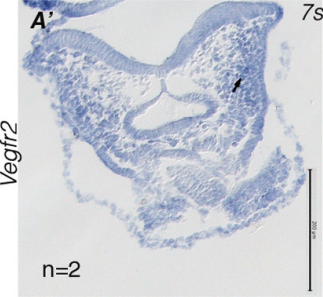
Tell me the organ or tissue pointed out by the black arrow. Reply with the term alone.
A: Pharyngeal mesenchyme.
